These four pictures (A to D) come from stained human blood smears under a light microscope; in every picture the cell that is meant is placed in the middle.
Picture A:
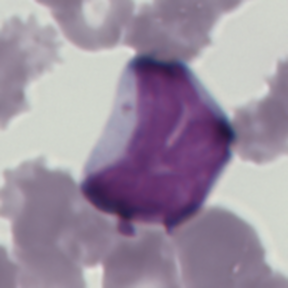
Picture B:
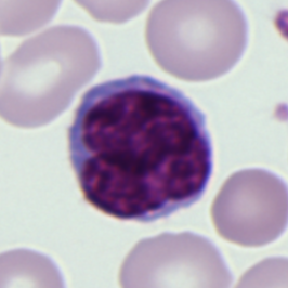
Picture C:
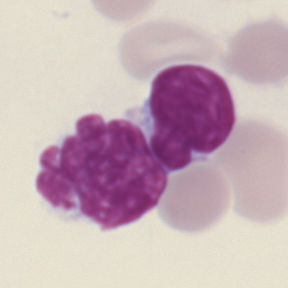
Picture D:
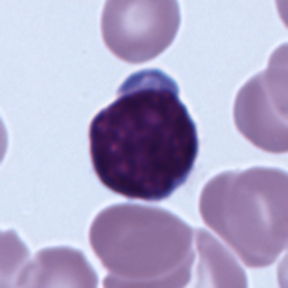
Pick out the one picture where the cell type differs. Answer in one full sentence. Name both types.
Unlike the rest, which show myeloblasts, picture B shows a typical lymphocyte.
